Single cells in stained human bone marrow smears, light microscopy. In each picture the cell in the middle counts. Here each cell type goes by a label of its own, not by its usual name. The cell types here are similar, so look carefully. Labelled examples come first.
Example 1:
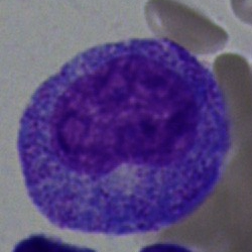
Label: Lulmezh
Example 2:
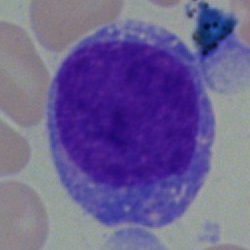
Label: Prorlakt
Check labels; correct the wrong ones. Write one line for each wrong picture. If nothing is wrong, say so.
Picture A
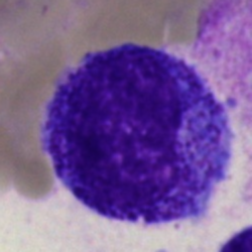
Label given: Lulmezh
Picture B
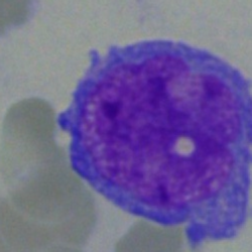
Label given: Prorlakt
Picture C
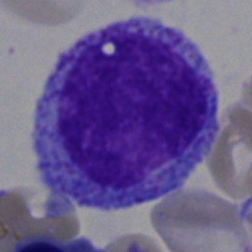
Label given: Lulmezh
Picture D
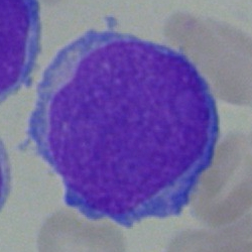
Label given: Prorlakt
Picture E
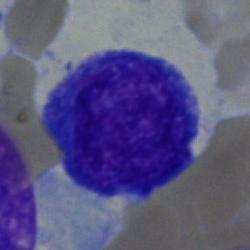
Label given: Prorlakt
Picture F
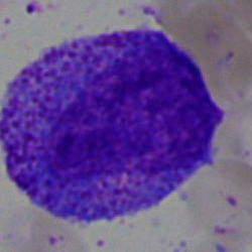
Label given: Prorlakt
F should be Lulmezh, not Prorlakt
